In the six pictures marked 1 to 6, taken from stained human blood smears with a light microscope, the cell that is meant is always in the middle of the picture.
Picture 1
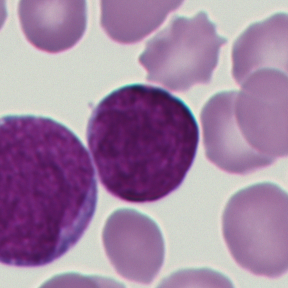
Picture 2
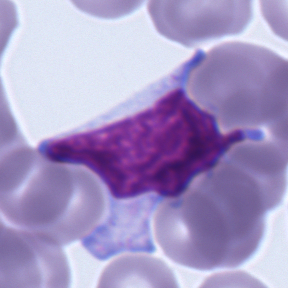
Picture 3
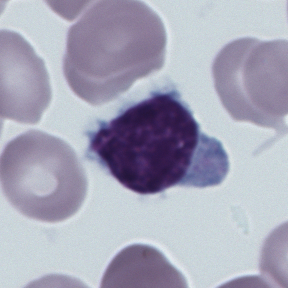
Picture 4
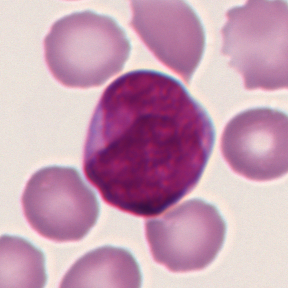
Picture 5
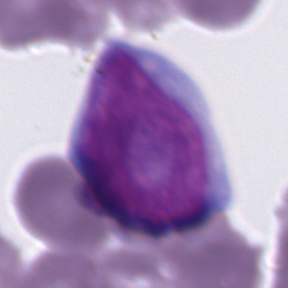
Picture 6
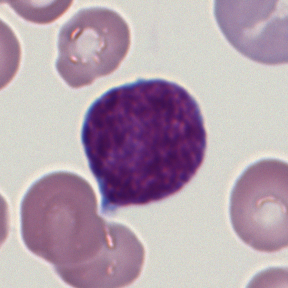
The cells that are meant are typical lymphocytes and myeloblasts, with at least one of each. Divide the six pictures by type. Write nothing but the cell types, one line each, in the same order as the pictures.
myeloblast
typical lymphocyte
typical lymphocyte
myeloblast
myeloblast
myeloblast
